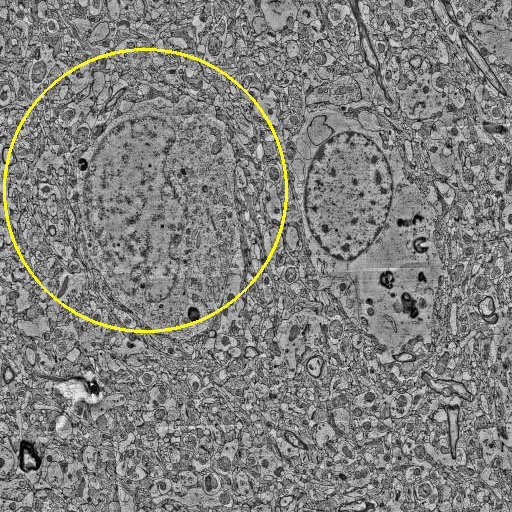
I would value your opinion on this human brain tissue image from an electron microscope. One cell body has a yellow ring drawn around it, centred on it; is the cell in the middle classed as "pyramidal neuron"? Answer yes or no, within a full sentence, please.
No, I would class the cell in the middle of the ring as a different kind.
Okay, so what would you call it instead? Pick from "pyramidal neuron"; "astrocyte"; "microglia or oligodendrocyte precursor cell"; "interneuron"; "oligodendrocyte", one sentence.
The cell in the ring is an interneuron instead.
